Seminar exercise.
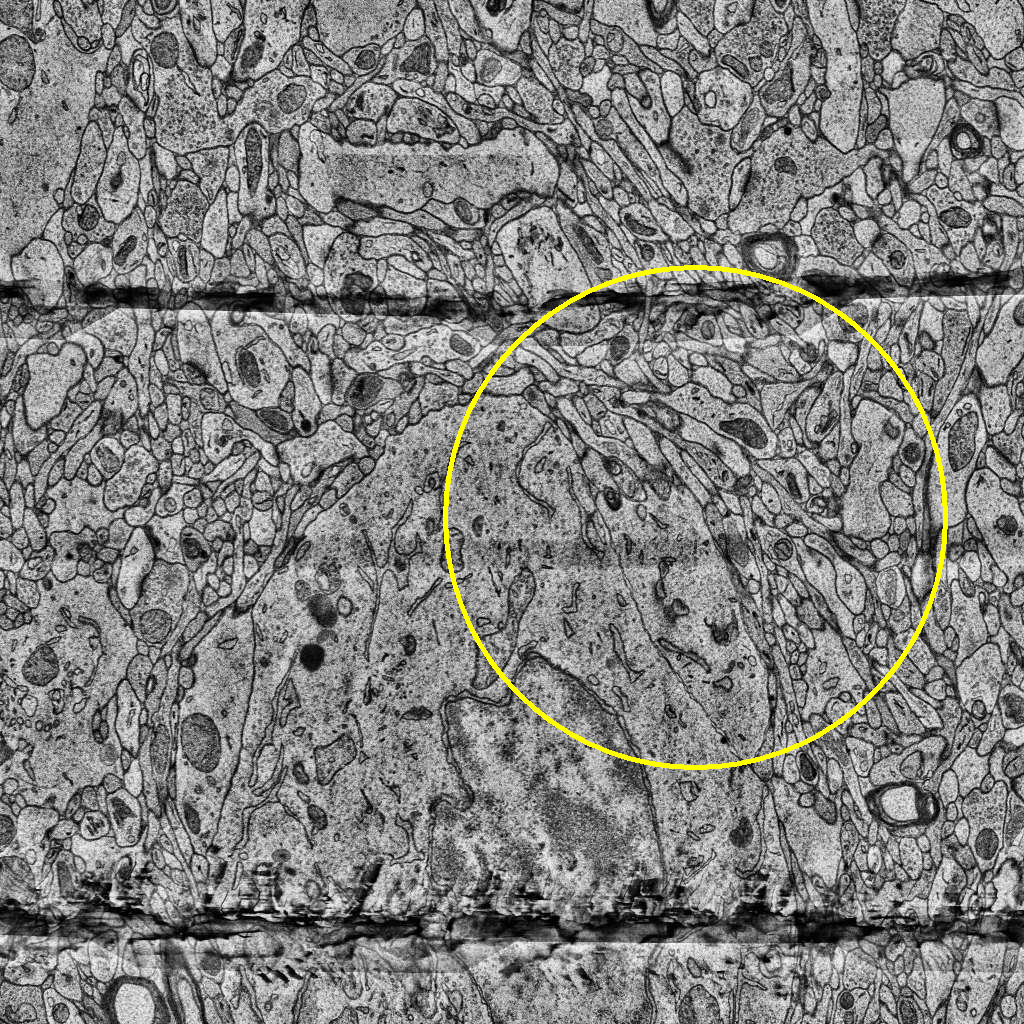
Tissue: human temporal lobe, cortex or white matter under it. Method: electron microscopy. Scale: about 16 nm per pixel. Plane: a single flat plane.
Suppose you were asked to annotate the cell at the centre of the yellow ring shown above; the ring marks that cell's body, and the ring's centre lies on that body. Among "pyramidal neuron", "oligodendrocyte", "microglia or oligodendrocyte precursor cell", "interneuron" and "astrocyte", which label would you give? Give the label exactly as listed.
microglia or oligodendrocyte precursor cell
